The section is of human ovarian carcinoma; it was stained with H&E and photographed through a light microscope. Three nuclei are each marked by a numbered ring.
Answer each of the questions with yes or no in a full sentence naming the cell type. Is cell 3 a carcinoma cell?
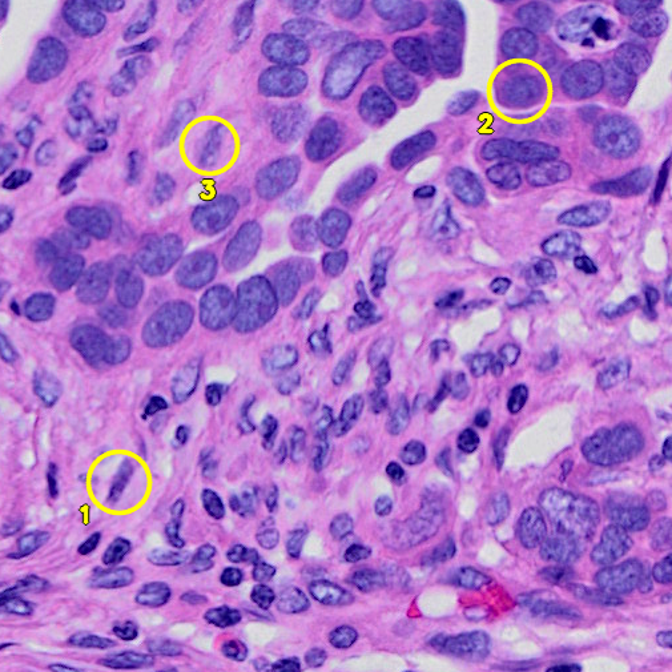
No, for cell 3, the correct identification is a fibroblast instead of a carcinoma cell.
